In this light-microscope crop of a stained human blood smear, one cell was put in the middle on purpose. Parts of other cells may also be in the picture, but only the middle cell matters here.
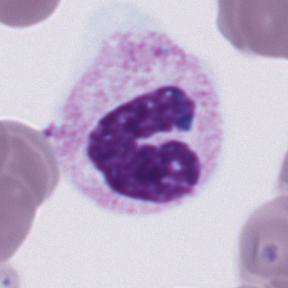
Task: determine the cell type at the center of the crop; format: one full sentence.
The cell found in the middle of this crop is a segmented neutrophil.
